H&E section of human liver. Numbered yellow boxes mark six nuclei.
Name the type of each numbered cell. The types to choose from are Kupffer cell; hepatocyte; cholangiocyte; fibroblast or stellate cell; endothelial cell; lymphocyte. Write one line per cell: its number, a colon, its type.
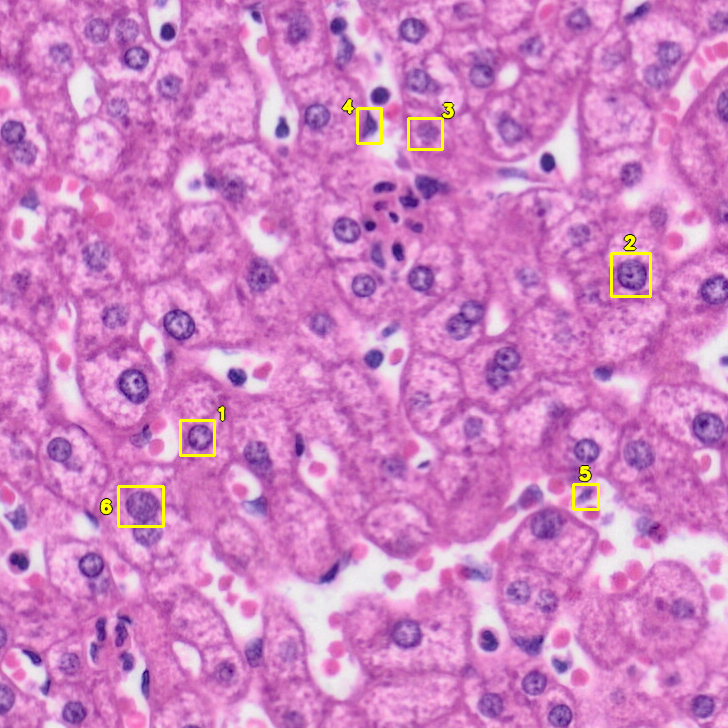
1: hepatocyte
2: hepatocyte
3: hepatocyte
4: endothelial cell
5: lymphocyte
6: hepatocyte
